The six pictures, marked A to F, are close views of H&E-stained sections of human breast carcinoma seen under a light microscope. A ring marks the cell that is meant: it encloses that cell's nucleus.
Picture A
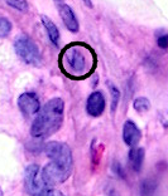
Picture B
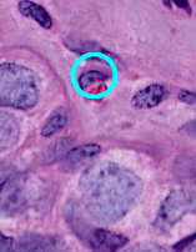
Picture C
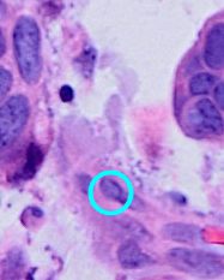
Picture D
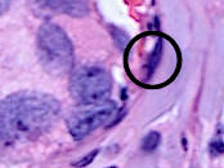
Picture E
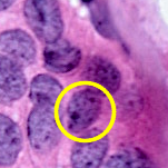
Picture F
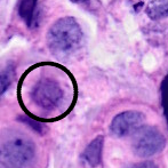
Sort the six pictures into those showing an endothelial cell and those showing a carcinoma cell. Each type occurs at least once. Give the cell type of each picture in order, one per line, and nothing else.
endothelial cell
endothelial cell
endothelial cell
endothelial cell
carcinoma cell
carcinoma cell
